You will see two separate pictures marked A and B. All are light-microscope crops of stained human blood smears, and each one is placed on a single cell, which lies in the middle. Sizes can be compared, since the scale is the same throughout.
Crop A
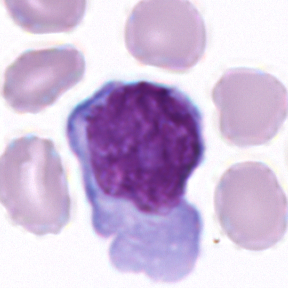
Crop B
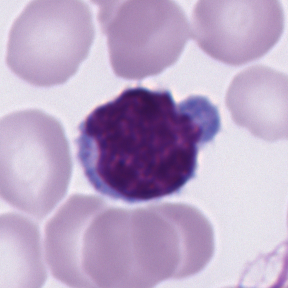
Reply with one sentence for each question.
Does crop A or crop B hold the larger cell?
The cell in crop A is larger, with about 1.5 times the area of the one in crop B.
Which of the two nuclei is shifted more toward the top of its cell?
Seen within its cell, the nucleus in crop A lies further toward the top.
